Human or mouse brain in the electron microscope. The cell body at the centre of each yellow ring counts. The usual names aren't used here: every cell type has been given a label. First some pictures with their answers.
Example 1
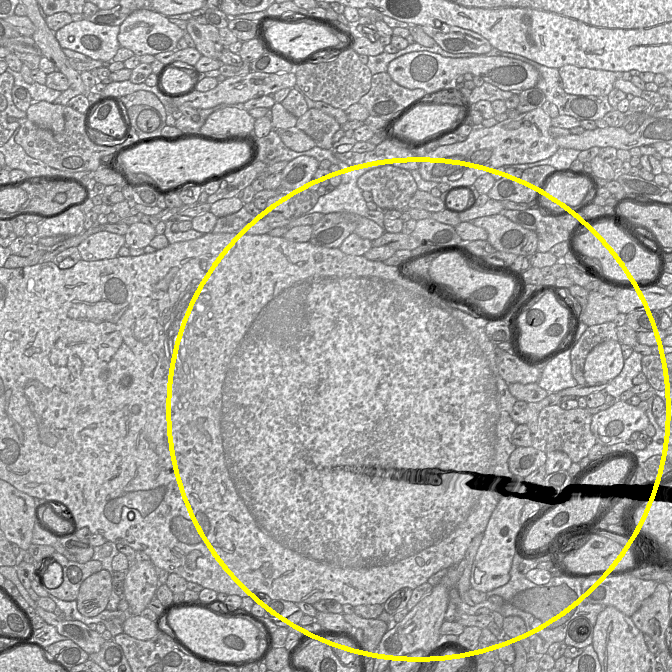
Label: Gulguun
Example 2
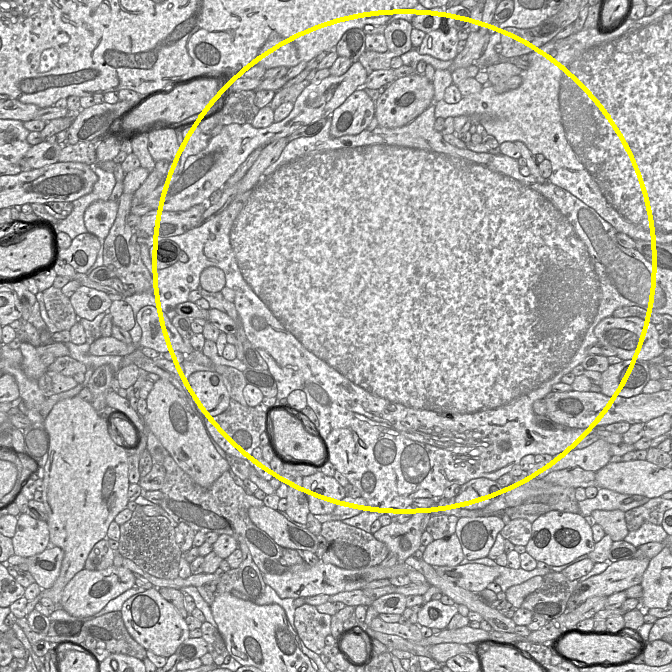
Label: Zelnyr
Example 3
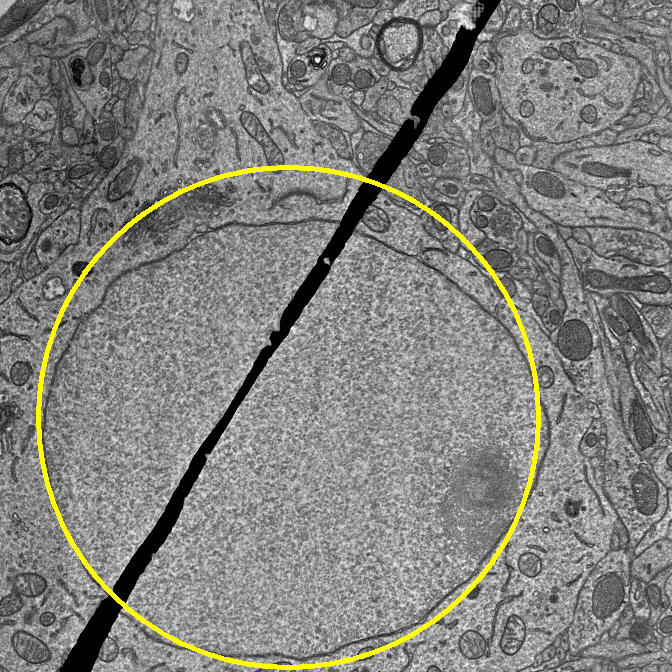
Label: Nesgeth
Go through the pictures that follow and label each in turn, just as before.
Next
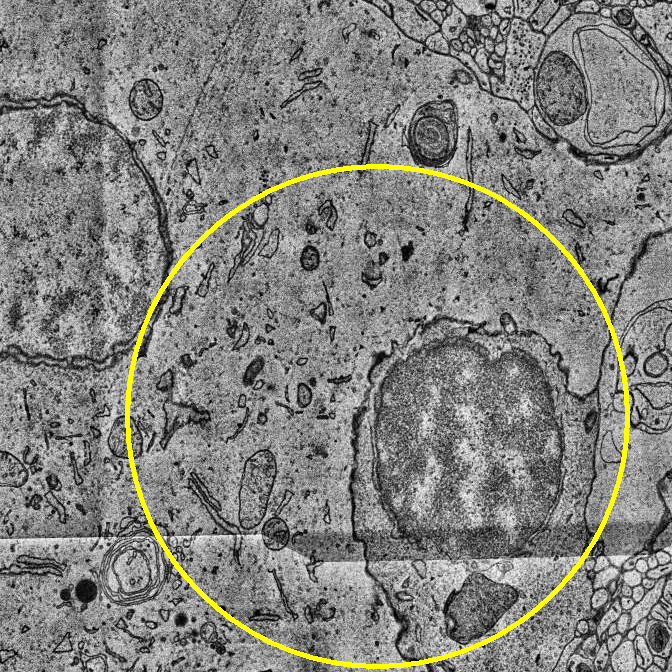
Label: Gulguun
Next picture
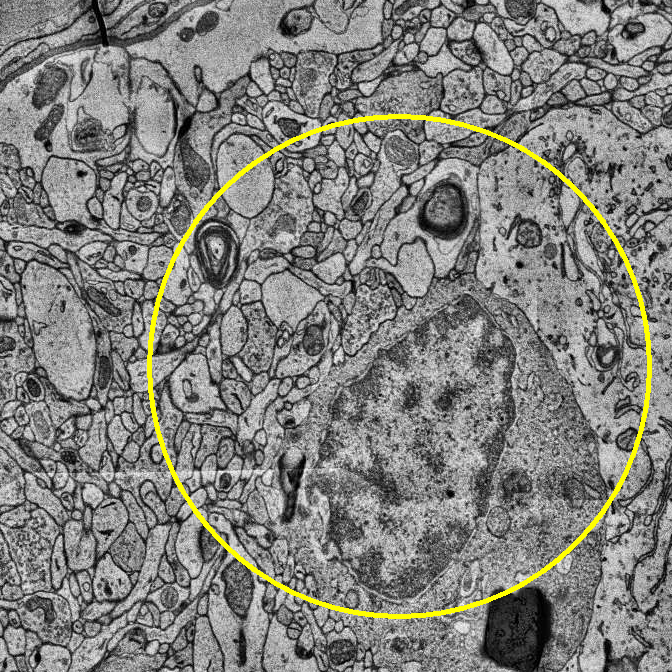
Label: Gulguun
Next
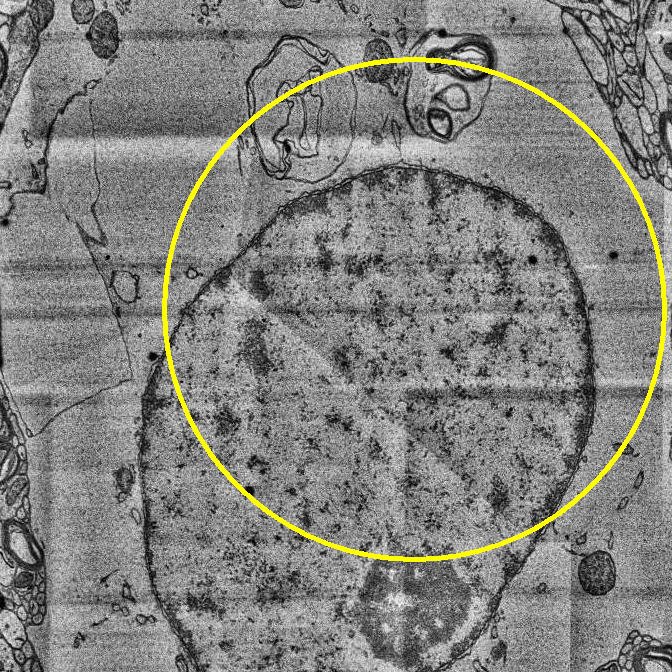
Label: Zelnyr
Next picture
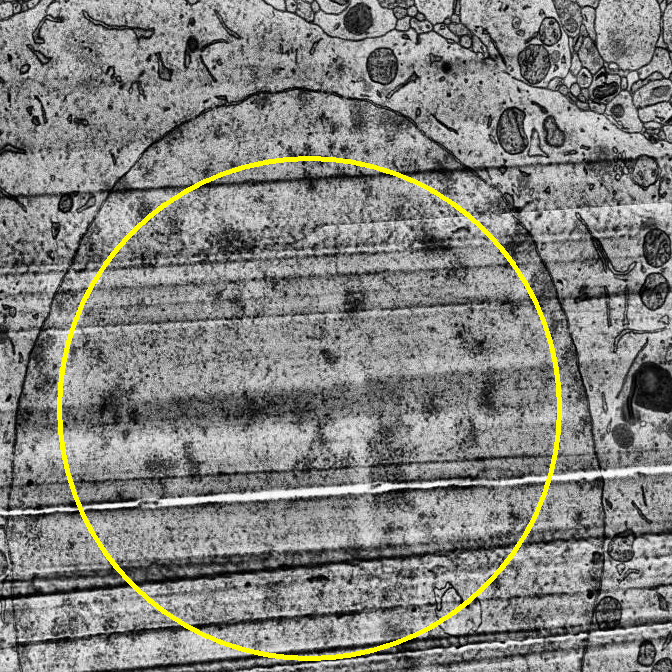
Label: Nesgeth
